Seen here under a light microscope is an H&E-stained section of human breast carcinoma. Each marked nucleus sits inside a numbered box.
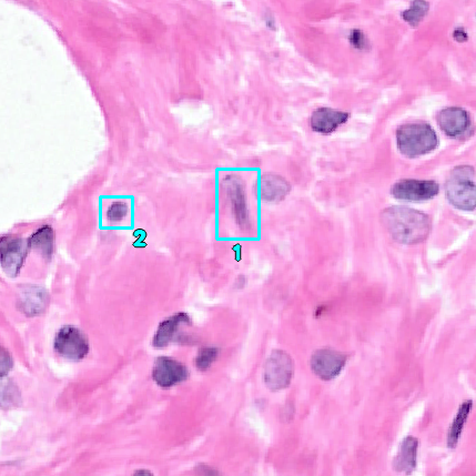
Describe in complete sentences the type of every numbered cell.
Cell 1 is a fibroblast and cell 2 is a lymphocyte.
